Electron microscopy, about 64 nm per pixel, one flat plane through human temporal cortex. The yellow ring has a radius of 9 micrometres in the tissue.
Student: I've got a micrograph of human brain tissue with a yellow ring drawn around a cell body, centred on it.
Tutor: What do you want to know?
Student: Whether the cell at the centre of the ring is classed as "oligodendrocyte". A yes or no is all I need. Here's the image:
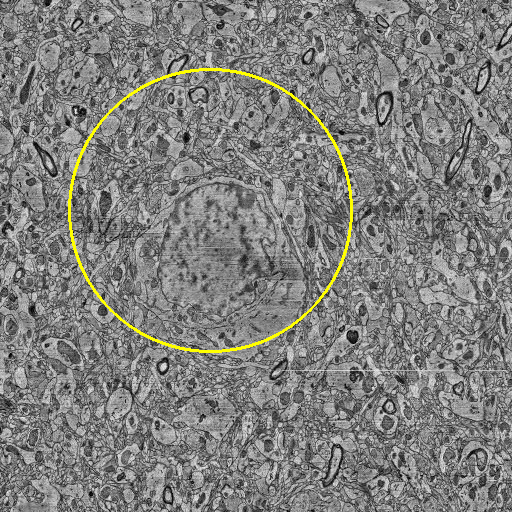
no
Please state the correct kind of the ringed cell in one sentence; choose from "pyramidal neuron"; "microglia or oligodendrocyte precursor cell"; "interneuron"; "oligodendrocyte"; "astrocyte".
The cell that the ring is centred on is an interneuron.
